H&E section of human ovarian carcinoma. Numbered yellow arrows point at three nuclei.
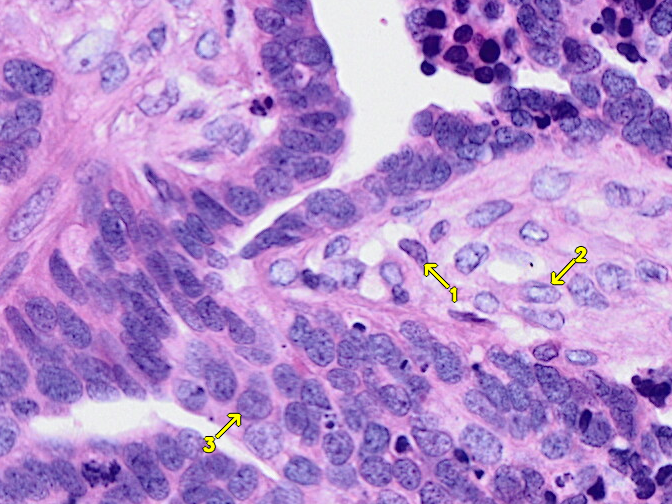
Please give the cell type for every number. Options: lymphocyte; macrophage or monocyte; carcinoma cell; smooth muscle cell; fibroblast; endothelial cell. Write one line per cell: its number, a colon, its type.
1: macrophage or monocyte
2: fibroblast
3: carcinoma cell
